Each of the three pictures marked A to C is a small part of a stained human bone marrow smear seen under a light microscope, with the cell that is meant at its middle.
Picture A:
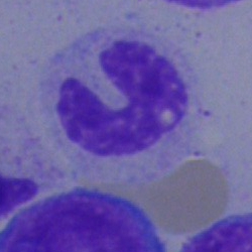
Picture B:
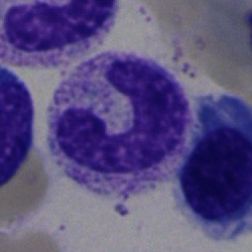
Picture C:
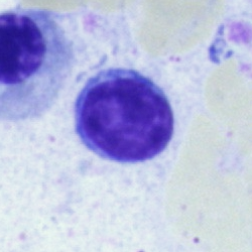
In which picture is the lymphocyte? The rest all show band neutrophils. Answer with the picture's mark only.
C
